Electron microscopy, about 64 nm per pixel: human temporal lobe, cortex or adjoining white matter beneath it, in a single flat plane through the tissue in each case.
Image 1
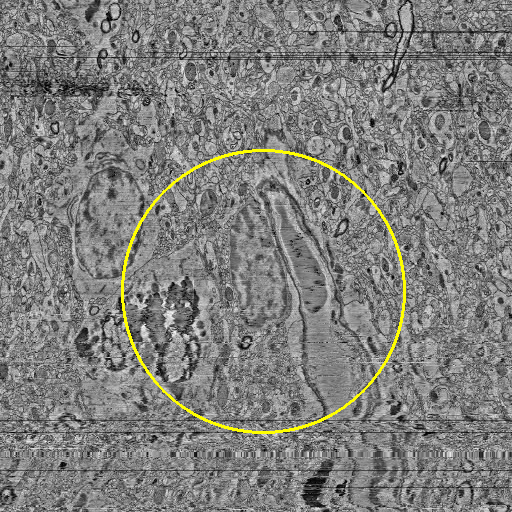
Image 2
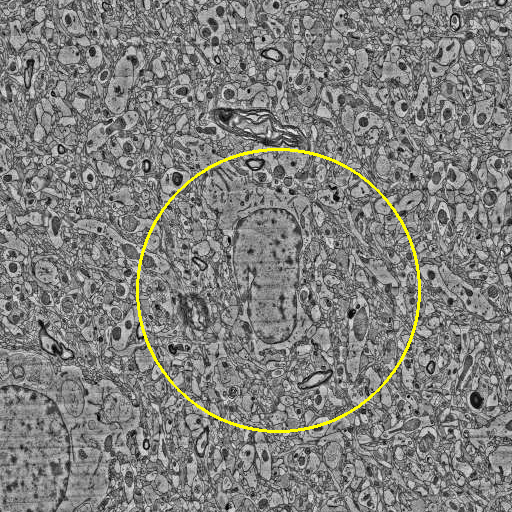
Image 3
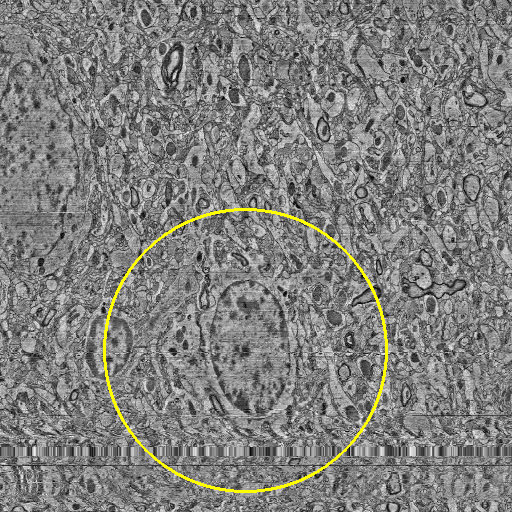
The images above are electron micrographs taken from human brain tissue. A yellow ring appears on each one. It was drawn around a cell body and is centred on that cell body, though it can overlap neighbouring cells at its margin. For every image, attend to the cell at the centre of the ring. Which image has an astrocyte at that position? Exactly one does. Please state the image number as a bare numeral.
3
